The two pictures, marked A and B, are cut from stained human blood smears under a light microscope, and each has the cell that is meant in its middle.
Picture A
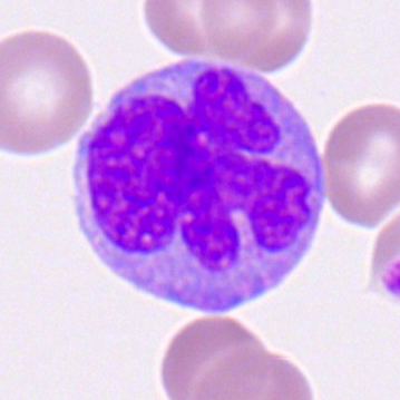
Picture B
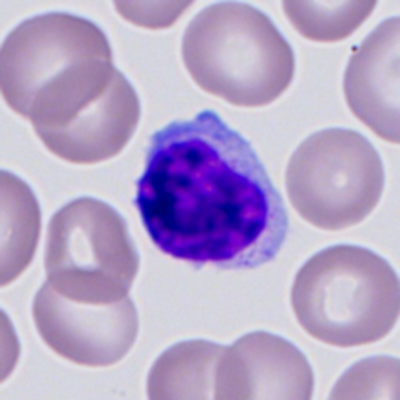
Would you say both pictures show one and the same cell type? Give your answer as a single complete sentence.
No, picture A shows a monocyte and picture B shows a lymphocyte.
